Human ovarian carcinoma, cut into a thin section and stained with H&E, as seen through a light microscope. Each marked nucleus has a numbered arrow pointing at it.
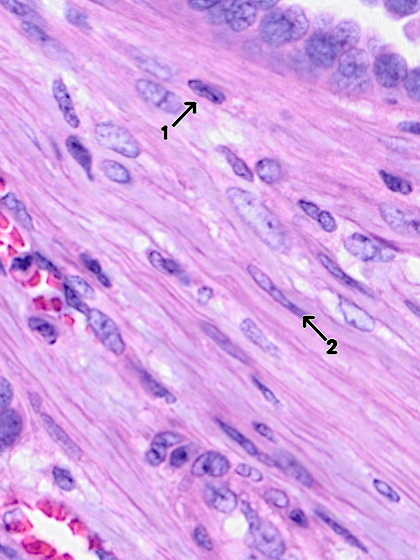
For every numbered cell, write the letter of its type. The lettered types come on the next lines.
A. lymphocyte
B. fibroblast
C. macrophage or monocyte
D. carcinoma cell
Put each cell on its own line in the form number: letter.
1: C
2: B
